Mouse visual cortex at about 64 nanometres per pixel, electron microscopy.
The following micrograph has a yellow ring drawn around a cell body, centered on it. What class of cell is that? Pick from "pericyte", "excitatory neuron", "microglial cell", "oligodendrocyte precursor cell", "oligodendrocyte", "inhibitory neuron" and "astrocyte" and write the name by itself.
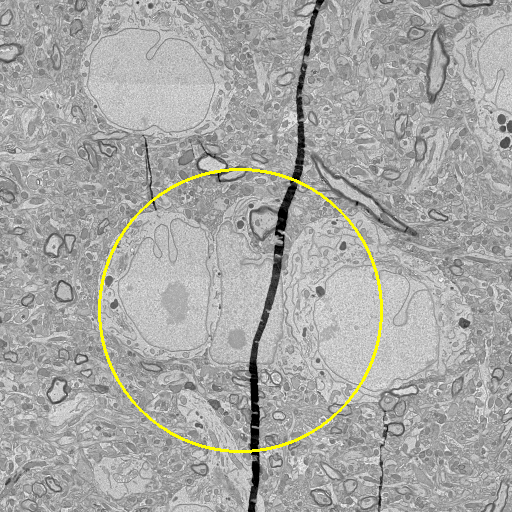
oligodendrocyte precursor cell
